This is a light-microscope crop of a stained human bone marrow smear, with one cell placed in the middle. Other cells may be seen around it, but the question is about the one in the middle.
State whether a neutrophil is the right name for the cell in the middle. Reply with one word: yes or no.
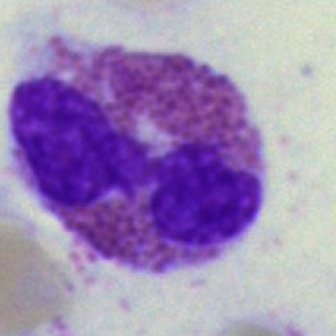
no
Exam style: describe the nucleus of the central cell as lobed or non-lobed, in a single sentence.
Counting the nuclear lobes gives a total of at least two.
